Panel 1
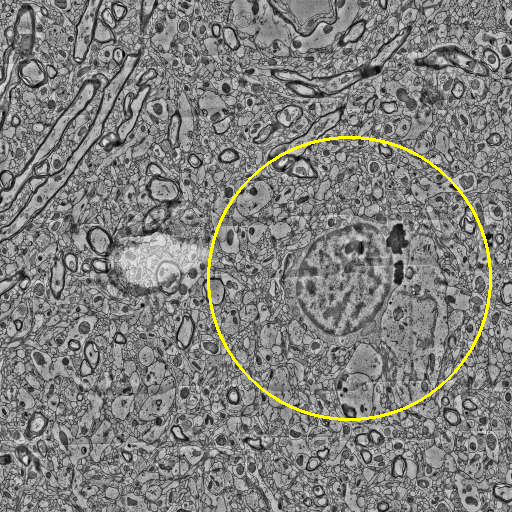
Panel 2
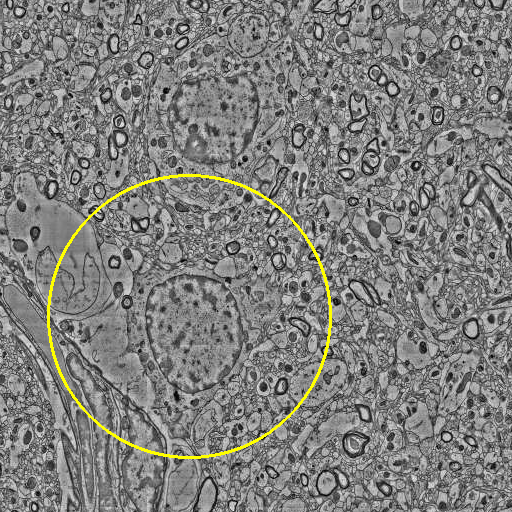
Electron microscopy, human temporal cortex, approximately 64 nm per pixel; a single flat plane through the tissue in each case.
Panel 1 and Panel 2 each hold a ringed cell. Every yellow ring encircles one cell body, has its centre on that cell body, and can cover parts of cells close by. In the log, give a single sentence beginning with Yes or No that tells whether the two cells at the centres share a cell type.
Yes, in Panel 1 and Panel 2 the centred cells share a cell type.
